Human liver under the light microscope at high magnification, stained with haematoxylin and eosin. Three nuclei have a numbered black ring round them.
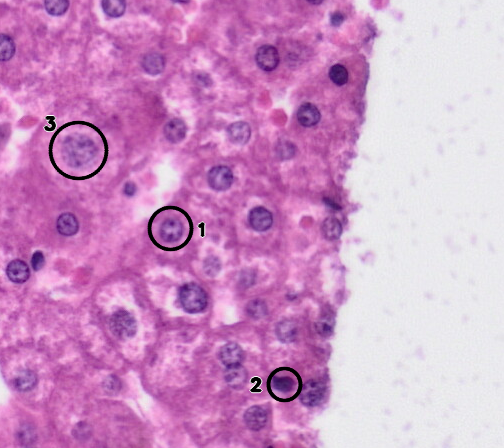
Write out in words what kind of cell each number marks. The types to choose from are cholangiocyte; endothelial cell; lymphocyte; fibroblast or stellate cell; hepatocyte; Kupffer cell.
Cell 1 is a hepatocyte, cell 2 is a fibroblast or stellate cell and cell 3 is a hepatocyte.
